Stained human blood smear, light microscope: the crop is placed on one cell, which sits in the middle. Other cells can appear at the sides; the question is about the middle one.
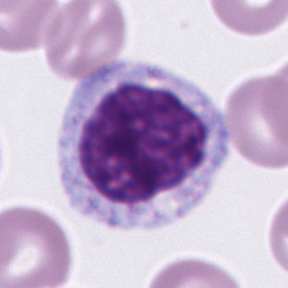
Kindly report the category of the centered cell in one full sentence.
In the middle of this smear crop is a metamyelocyte.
